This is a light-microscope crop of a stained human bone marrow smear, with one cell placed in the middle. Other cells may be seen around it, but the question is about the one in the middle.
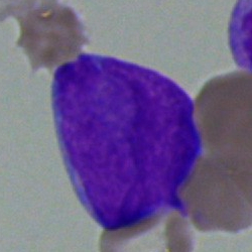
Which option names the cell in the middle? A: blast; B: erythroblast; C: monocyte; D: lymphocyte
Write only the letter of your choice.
A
